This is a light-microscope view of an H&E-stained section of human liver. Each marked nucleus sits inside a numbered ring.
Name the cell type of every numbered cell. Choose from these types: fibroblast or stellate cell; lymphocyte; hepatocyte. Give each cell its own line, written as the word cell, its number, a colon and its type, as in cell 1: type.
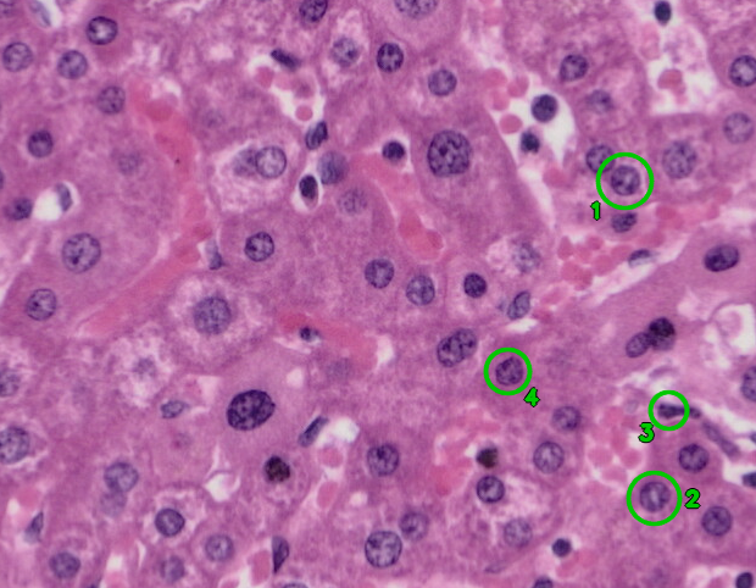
cell 1: hepatocyte
cell 2: hepatocyte
cell 3: fibroblast or stellate cell
cell 4: hepatocyte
